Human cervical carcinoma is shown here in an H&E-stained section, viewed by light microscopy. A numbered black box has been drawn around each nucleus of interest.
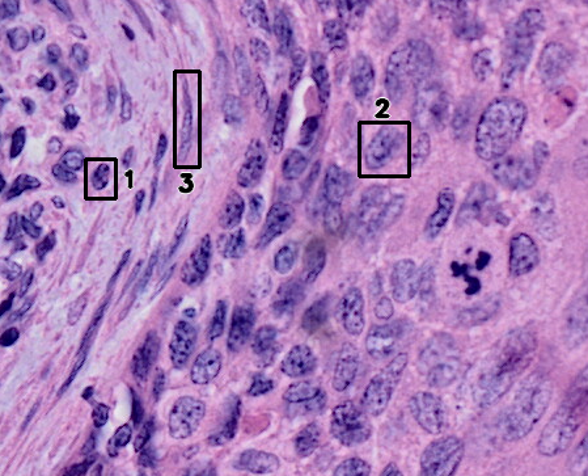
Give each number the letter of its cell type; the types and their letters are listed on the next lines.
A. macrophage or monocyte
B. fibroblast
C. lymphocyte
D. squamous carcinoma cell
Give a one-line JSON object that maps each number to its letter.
{"1": "C", "2": "D", "3": "B"}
